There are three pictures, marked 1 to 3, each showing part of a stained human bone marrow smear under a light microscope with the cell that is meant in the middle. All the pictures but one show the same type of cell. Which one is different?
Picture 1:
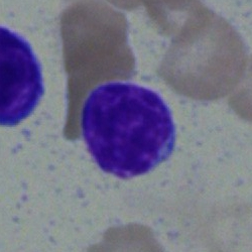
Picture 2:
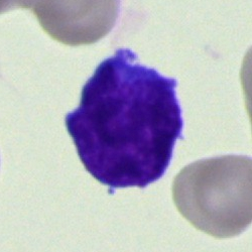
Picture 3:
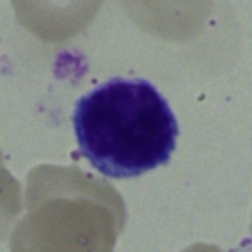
2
